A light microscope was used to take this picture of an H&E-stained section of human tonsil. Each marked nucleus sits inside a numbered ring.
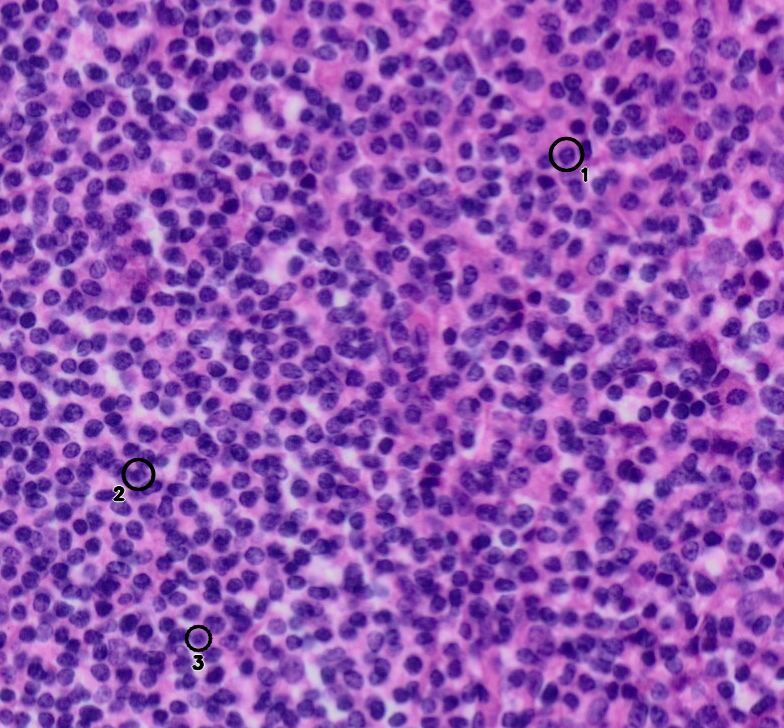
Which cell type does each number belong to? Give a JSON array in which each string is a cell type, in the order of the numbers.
["plasma cell", "small lymphocyte", "small lymphocyte"]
